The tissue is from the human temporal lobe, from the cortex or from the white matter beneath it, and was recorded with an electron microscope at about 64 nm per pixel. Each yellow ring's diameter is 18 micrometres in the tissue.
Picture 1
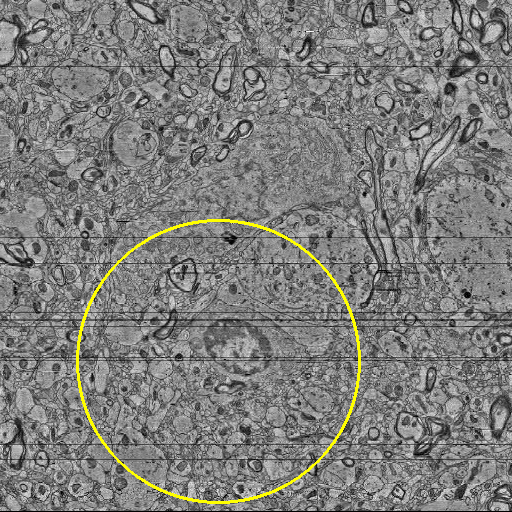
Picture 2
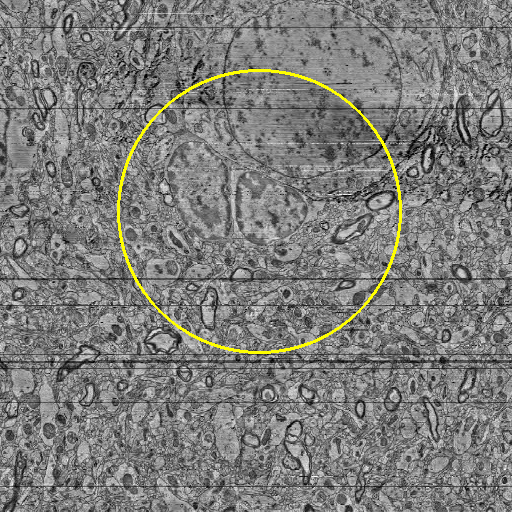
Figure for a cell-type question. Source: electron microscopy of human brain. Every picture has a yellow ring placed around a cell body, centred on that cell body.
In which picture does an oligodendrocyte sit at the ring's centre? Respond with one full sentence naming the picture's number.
The cell in the middle of the ring in picture 1 is the one sought.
